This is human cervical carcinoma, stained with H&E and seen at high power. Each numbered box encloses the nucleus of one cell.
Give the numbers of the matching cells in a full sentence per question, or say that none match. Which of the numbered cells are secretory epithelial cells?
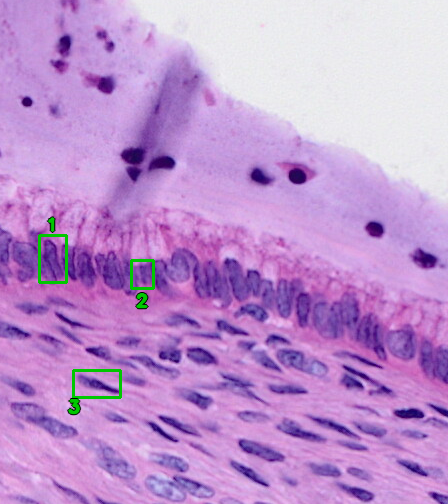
The cells with the number labels 1 and 2 are secretory epithelial cells.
